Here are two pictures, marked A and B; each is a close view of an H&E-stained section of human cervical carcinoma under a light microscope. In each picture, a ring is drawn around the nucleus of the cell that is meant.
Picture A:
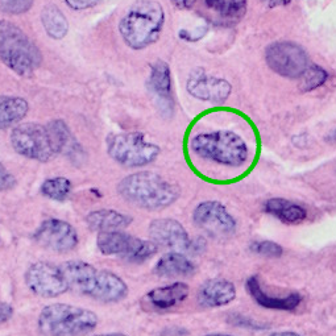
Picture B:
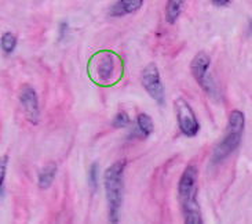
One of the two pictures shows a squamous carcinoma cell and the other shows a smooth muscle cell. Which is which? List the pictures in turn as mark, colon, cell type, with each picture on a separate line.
A: squamous carcinoma cell
B: smooth muscle cell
